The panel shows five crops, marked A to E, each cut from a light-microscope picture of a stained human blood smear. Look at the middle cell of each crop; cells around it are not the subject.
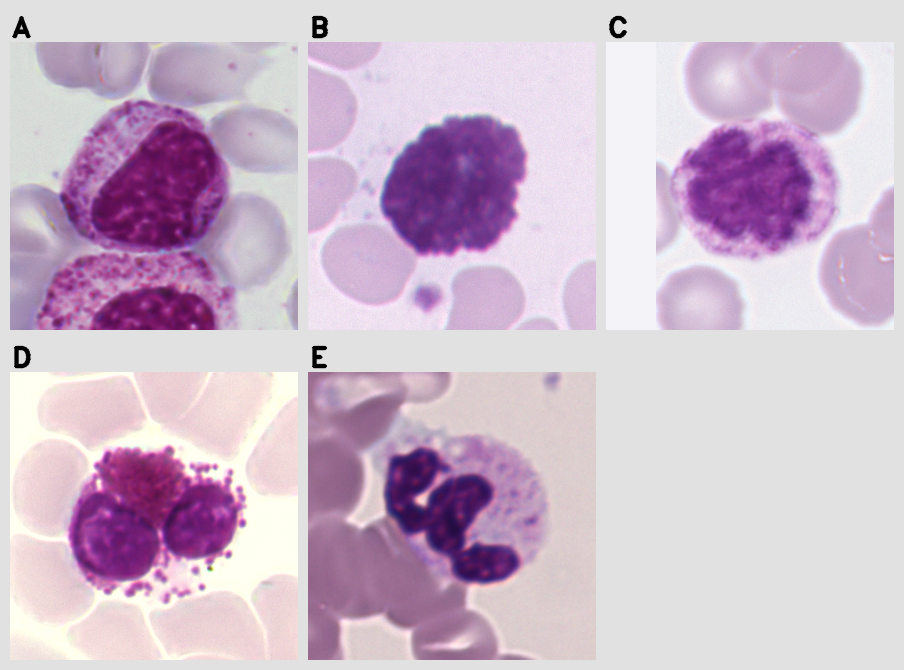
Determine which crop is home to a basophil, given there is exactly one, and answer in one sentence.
The crop that has a basophil in the middle is crop C.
